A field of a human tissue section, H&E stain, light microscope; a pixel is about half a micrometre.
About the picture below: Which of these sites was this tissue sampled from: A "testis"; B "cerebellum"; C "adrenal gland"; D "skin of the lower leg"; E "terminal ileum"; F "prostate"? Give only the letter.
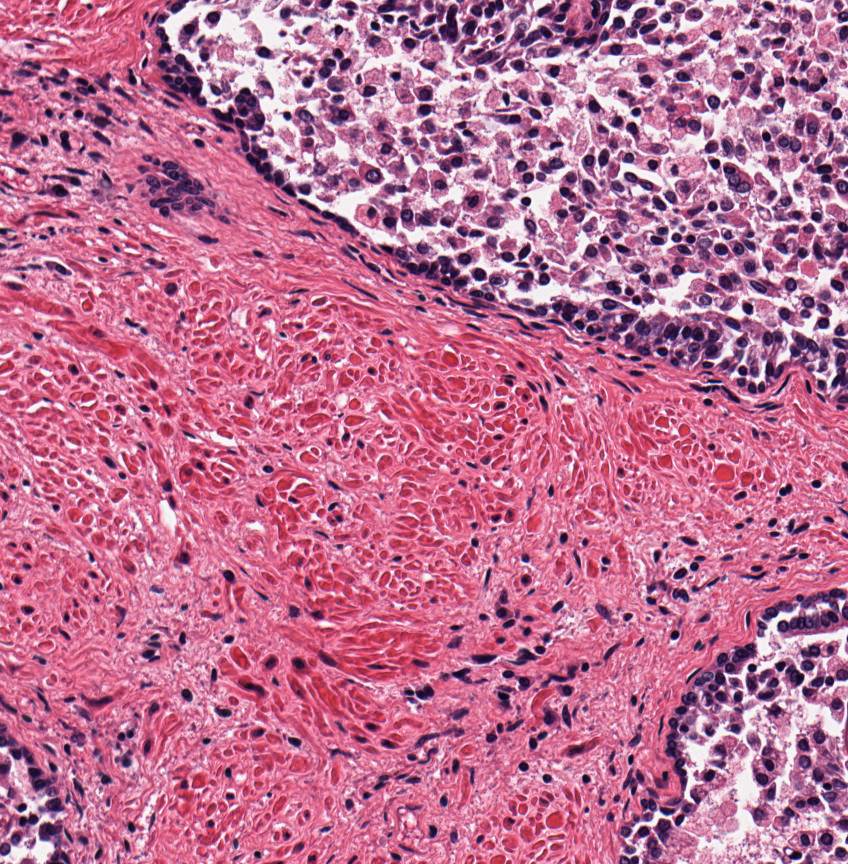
F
